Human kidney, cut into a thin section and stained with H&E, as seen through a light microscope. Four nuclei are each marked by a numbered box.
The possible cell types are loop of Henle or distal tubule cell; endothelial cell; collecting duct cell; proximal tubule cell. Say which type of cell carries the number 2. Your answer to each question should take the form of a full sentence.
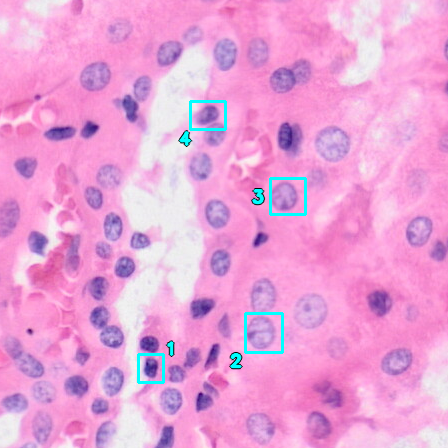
Here the cell numbered 2 is a proximal tubule cell.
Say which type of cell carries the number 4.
The numbered cell 4 is identified here as a collecting duct cell.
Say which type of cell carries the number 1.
The nucleus labelled 1 belongs to a collecting duct cell.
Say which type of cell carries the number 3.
It is as a proximal tubule cell that the cell numbered 3 is identified.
